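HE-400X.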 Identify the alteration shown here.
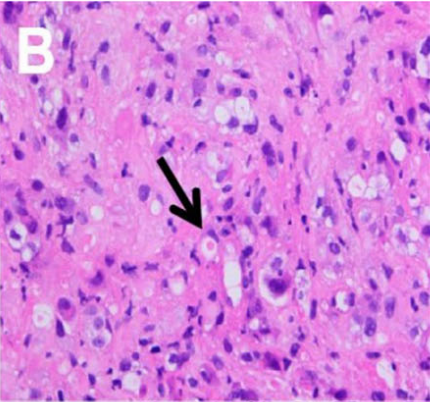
Cytoplasmic vacuoles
